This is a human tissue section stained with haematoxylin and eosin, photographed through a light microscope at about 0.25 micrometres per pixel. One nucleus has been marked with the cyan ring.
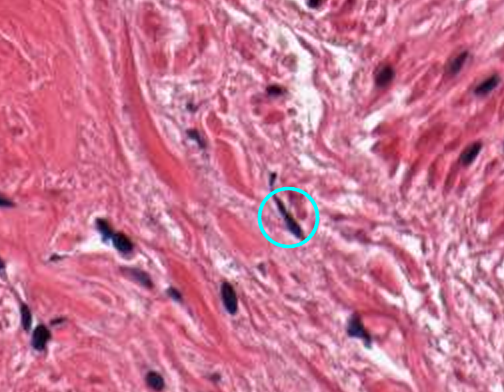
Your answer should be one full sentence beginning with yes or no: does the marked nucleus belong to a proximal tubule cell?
No, it is to a supporting cell that the marked nucleus belongs, not to a proximal tubule cell.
